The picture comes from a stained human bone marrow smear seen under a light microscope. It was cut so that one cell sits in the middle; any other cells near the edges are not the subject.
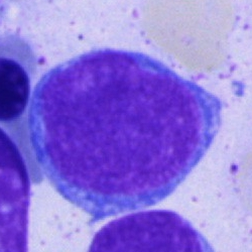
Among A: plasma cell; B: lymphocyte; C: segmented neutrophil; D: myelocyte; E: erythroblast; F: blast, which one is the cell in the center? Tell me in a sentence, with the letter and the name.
The cell centred in the crop is a blast, and the correct option is thus F.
